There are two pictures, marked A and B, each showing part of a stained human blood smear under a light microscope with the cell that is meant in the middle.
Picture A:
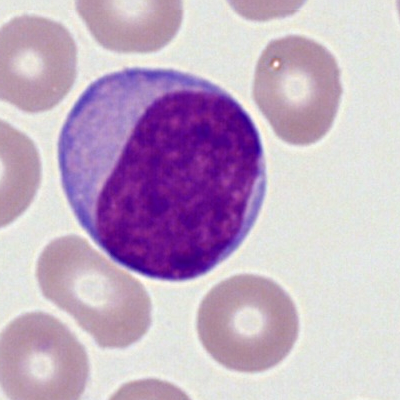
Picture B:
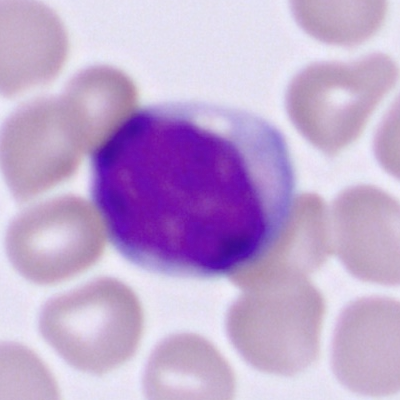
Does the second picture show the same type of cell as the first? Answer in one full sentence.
Yes, both cells are myeloblasts.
